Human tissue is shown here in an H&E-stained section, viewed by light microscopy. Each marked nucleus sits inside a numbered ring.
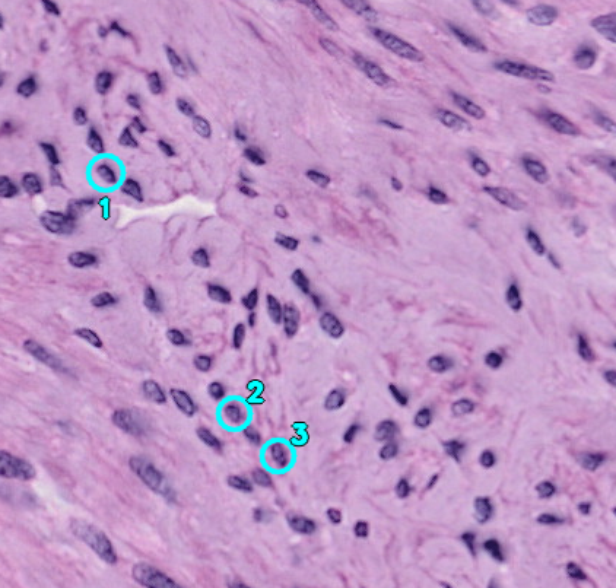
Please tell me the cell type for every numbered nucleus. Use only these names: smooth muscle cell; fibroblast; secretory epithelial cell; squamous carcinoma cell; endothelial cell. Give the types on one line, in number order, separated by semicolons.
fibroblast; smooth muscle cell; smooth muscle cell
